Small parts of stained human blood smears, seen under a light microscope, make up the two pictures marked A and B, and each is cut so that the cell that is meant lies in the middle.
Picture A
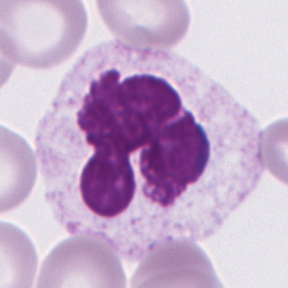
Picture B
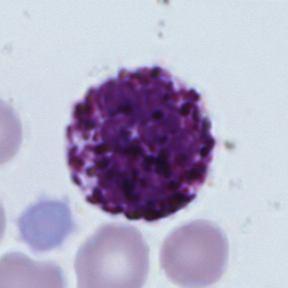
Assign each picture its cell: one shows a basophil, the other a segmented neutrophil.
A: segmented neutrophil
B: basophil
